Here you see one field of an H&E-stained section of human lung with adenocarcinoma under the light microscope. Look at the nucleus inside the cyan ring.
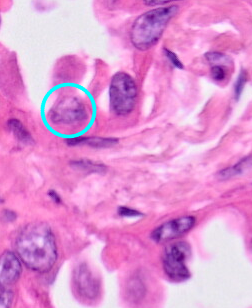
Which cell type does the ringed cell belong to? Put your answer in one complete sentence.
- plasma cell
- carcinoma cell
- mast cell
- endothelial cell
Typologically, the ringed cell is a carcinoma cell in this section.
